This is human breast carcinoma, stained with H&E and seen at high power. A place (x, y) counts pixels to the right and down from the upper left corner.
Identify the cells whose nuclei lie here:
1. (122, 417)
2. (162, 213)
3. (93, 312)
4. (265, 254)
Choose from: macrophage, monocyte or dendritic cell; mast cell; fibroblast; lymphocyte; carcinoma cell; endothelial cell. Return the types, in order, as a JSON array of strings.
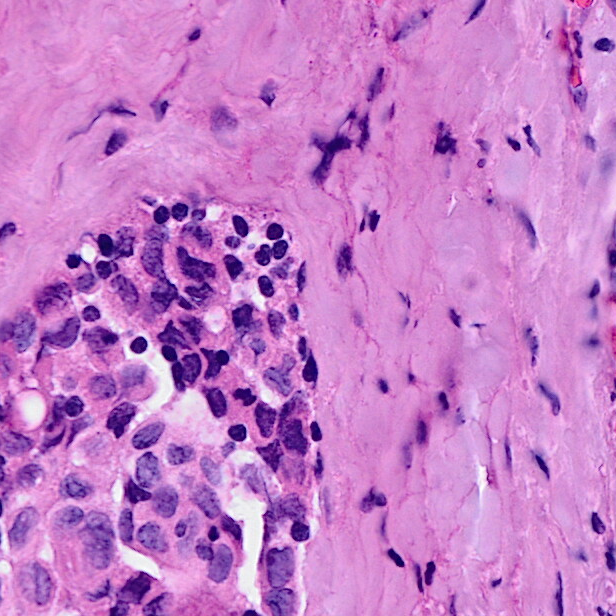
["carcinoma cell", "lymphocyte", "lymphocyte", "lymphocyte"]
